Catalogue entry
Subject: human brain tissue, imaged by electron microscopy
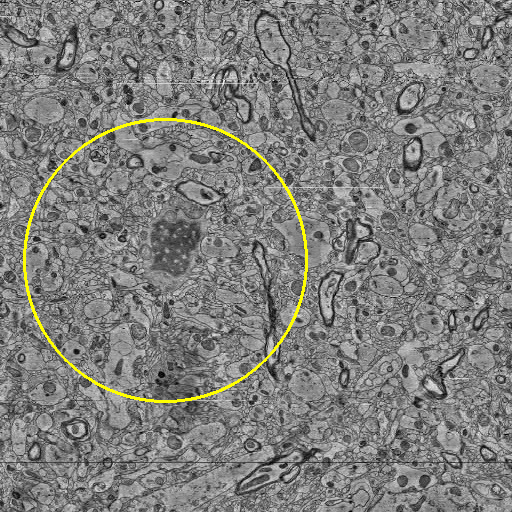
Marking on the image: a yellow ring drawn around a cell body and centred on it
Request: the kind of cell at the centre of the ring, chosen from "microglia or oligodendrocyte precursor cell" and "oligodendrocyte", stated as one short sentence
The ring has an oligodendrocyte at its centre.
